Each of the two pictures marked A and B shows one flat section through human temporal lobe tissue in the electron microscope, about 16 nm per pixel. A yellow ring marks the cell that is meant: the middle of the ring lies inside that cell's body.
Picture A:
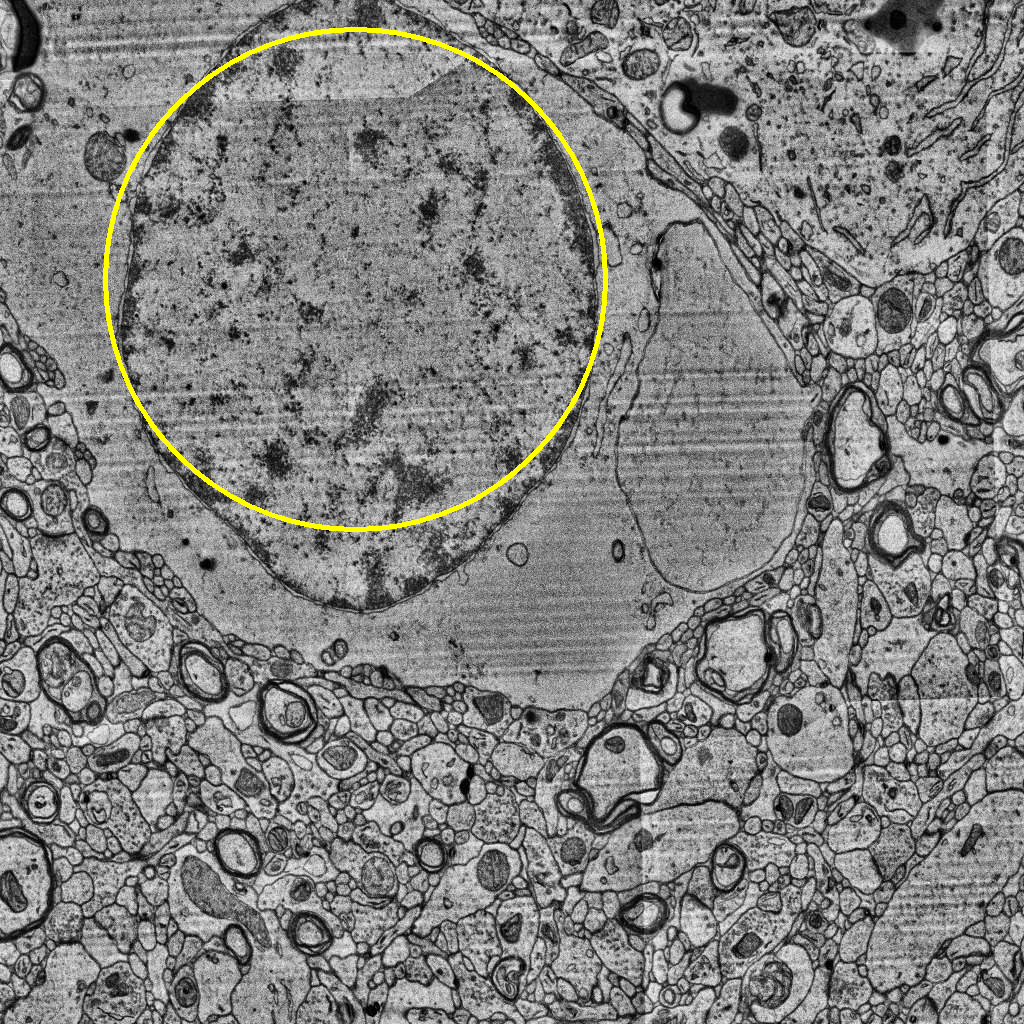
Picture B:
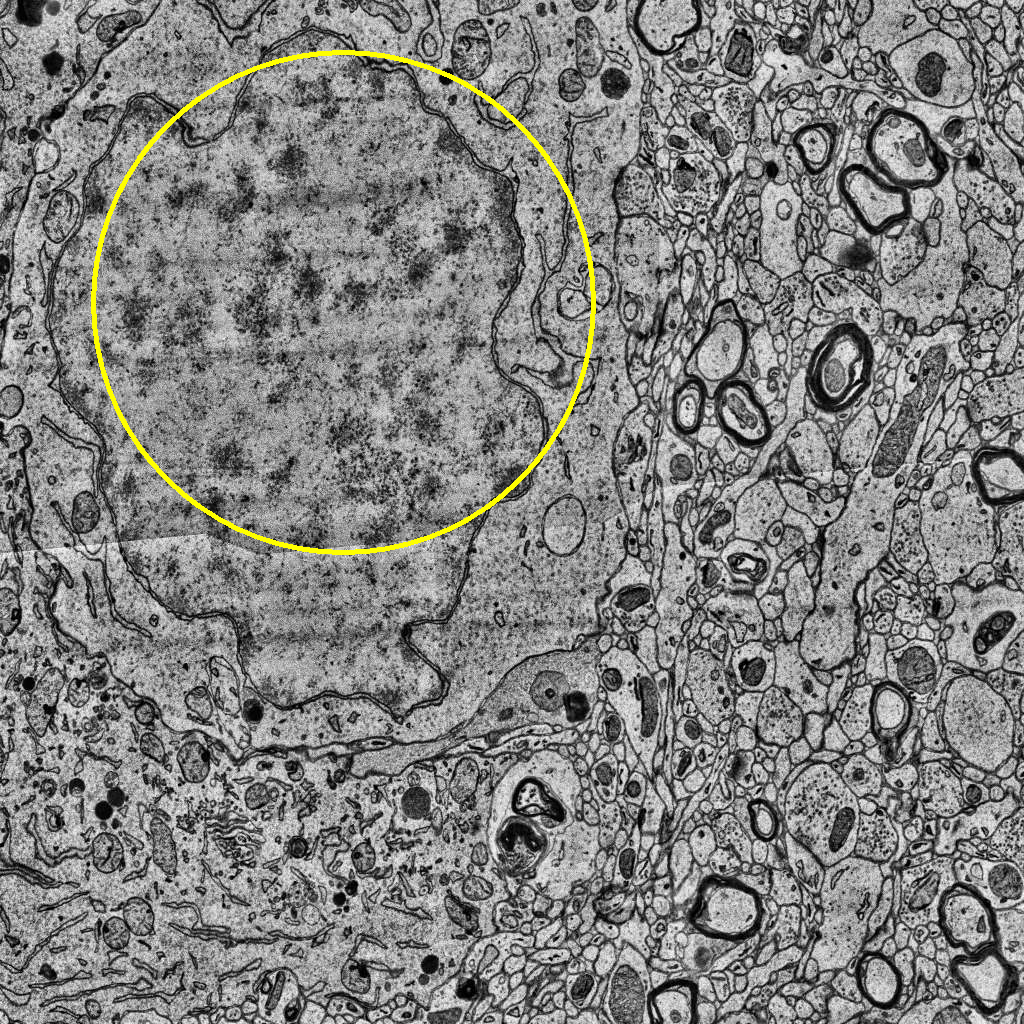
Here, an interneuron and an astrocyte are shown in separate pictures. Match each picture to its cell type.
Picture A shows an astrocyte and picture B shows an interneuron.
